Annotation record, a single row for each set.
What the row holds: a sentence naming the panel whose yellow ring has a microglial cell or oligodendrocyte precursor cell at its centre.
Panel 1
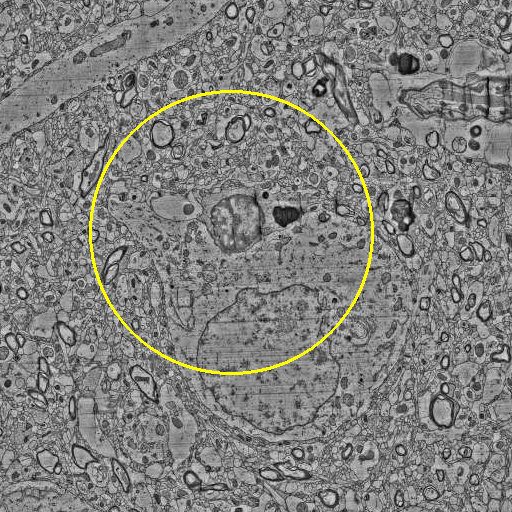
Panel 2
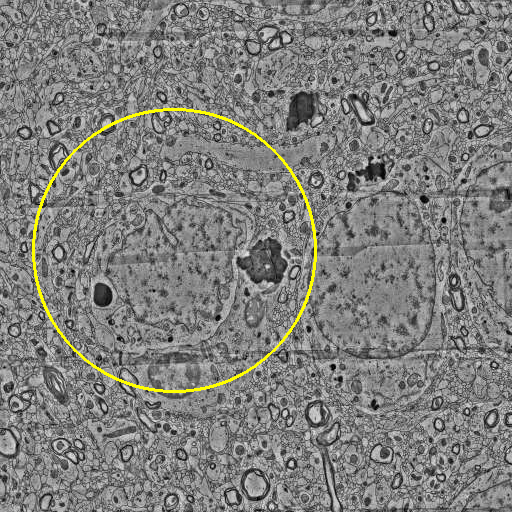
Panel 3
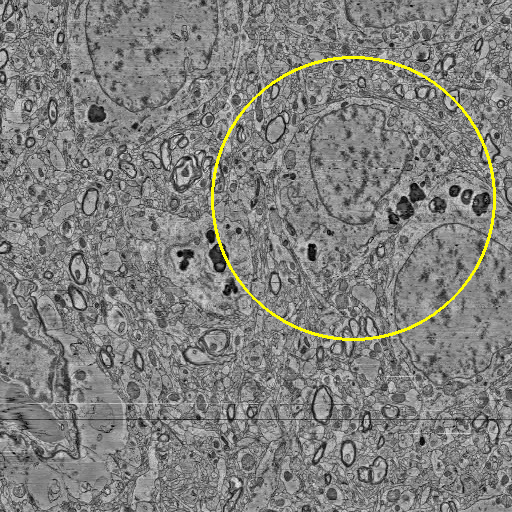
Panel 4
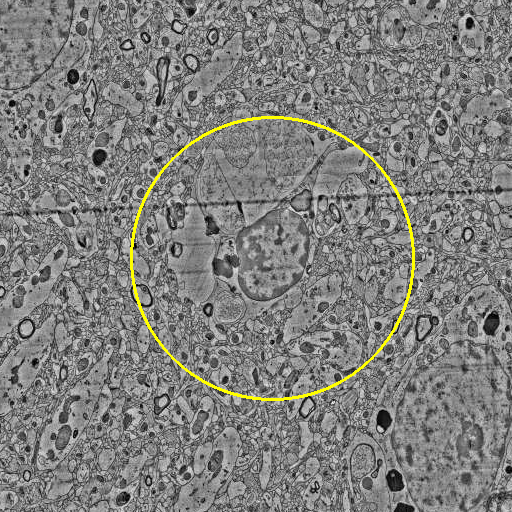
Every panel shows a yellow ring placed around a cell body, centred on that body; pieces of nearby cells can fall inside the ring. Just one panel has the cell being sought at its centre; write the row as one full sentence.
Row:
In panel 4, the cell at the middle of the yellow ring is the one sought.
